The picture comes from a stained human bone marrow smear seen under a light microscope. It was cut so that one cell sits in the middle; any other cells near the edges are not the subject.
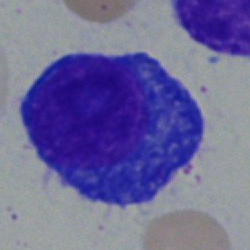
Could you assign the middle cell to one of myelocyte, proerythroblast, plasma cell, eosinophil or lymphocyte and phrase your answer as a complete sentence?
Where the crop is centred, there is a plasma cell.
